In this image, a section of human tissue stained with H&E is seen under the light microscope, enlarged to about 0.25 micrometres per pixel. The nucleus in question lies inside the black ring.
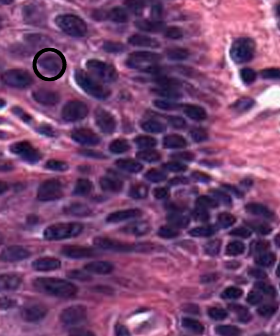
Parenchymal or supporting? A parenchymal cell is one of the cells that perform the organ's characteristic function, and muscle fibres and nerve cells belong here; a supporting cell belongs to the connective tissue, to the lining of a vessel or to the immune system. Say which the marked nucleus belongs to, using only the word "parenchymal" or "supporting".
parenchymal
